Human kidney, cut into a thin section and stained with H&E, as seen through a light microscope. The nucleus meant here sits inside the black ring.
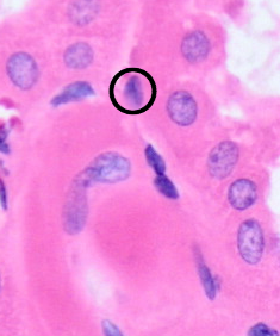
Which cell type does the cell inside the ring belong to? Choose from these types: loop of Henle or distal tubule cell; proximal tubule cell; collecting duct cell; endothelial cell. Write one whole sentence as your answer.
Cytologically, the cell inside the ring is to be regarded as an endothelial cell.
